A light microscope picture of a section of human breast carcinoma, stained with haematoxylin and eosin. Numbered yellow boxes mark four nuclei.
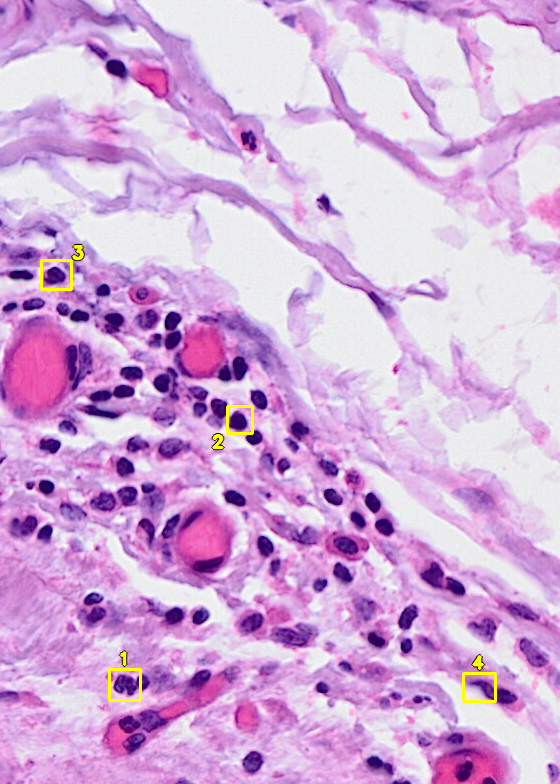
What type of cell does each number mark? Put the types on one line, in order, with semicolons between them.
lymphocyte; lymphocyte; lymphocyte; fibroblast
